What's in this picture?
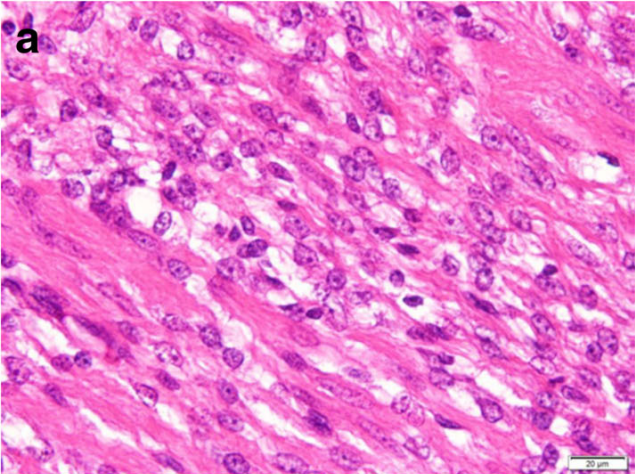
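This tumor is made of densely packed tumor cells with small spindle-shaped cytoplasm, arranged in parallel streams that run diagonally across the field. The nuclei are purple, oval to elongated, some plump and some darker and more irregular, with fine chromatin and small nucleoli. The cytoplasm is scant and pale and its borders are indistinct. Broad pink bands of collagen-rich stroma run between the cell streams. Small clear, empty-looking spaces are scattered among the cells and give parts of the field a loose, vacuolated look.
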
